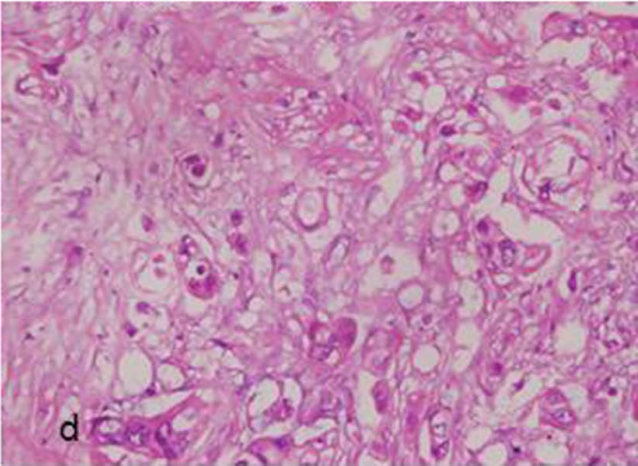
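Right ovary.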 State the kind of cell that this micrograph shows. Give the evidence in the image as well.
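Scattered single cells with pale, vacuolated cytoplasm. Nuclei pressed to one side of the cell. Cells lie loosely in a pale, fibrous stroma.
Signet ring cells.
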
